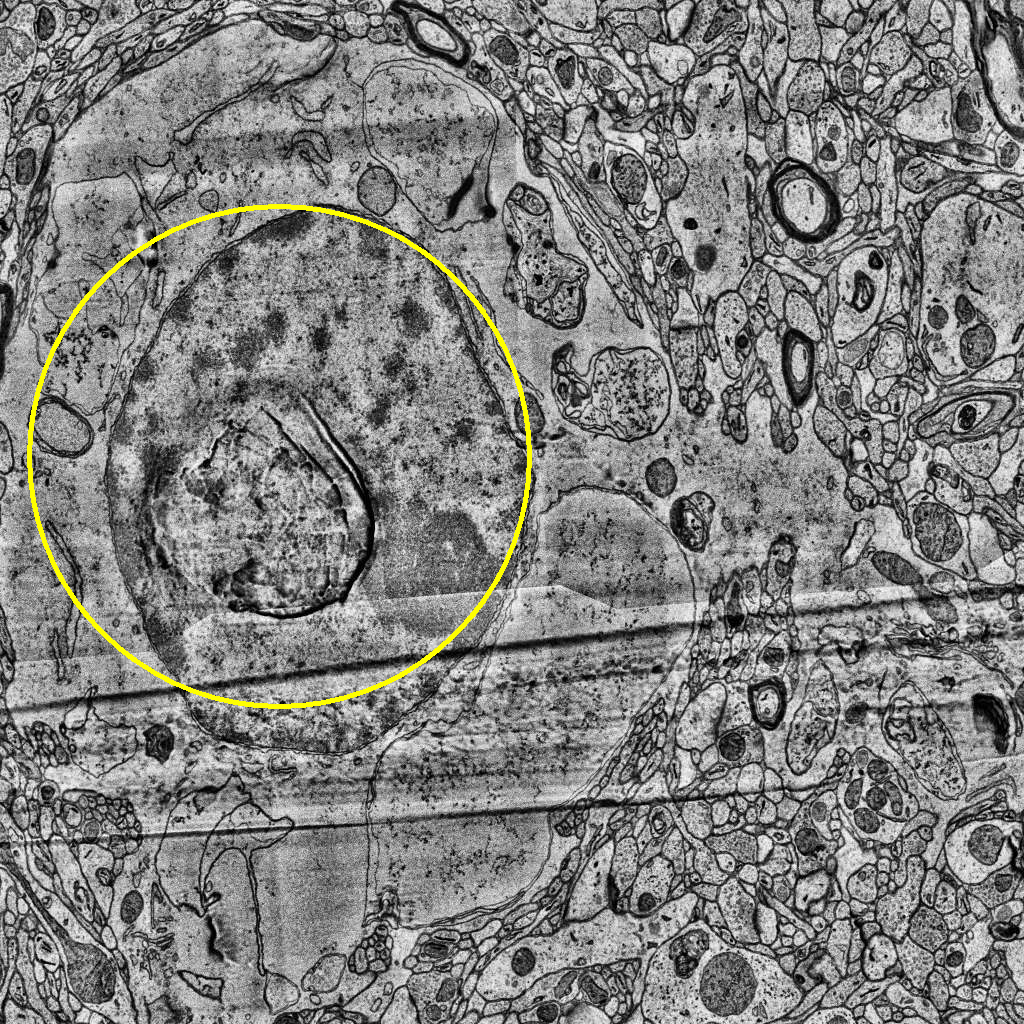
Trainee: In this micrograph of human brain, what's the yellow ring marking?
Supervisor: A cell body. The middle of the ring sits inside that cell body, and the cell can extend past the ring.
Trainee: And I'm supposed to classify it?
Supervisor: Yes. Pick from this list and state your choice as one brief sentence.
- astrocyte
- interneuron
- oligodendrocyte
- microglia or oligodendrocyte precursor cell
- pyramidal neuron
The cell at the ring's center is an astrocyte.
